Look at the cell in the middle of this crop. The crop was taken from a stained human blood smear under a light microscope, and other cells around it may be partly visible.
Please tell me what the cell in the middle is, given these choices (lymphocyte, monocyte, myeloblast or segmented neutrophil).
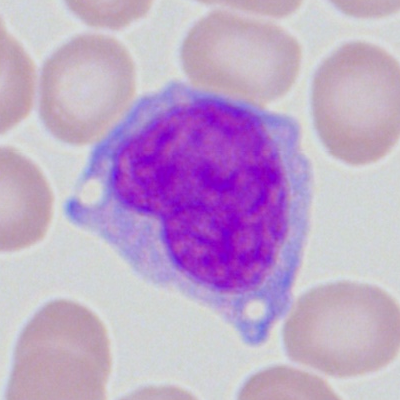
monocyte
